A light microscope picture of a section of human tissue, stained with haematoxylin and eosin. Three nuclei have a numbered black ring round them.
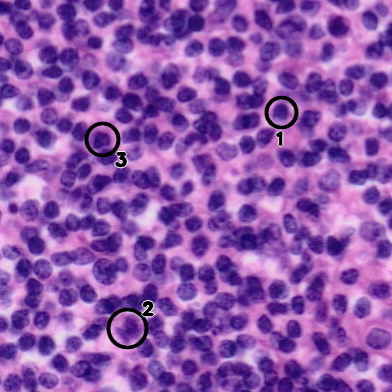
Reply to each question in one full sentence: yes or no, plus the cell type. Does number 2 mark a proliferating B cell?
Yes, in the section, number 2 is a proliferating B cell.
